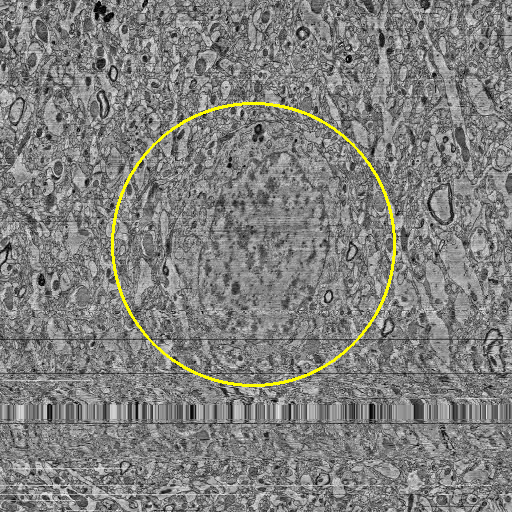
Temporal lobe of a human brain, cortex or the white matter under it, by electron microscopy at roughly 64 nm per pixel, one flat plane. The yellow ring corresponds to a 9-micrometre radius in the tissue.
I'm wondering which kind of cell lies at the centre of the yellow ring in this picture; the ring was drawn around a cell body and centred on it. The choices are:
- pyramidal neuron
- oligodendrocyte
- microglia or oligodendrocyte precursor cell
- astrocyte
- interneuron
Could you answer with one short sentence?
At the centre of the ring lies an interneuron.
